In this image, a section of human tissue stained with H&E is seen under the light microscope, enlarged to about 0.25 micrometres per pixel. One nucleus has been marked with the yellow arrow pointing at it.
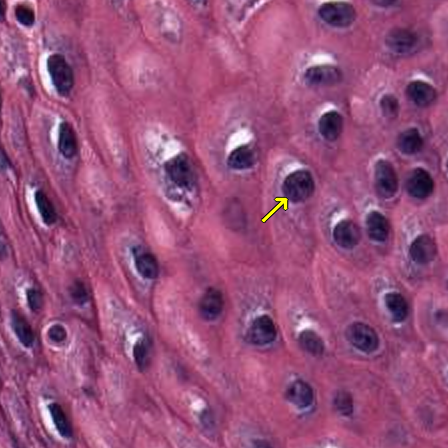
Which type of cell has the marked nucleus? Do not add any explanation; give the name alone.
squamous epithelial cell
